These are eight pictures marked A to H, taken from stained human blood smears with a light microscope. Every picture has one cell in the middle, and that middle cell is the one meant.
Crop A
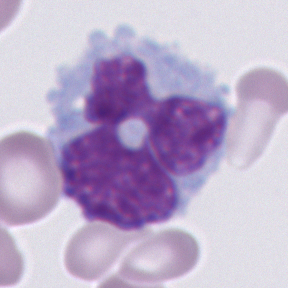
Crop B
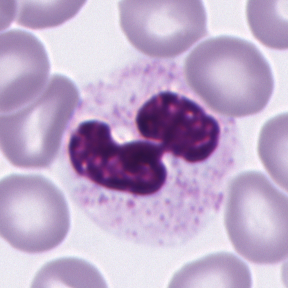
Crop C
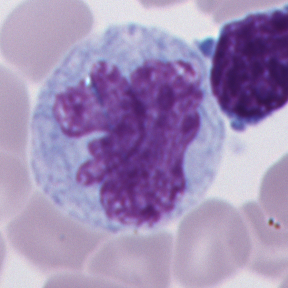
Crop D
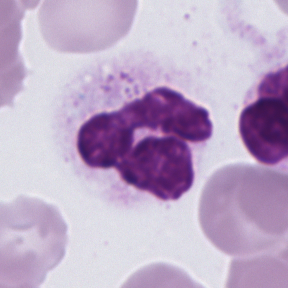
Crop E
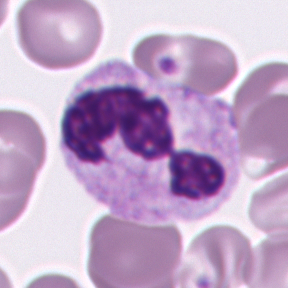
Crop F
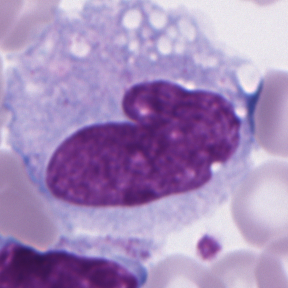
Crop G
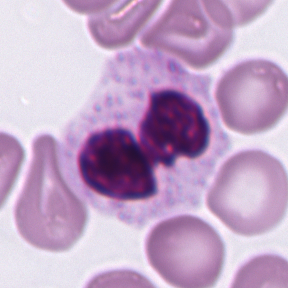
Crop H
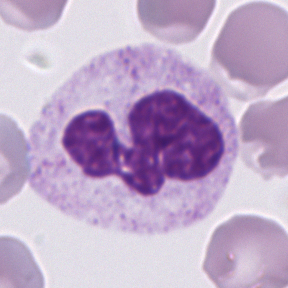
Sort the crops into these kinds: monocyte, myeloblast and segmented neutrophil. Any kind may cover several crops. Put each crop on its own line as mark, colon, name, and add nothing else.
A: monocyte
B: segmented neutrophil
C: monocyte
D: segmented neutrophil
E: segmented neutrophil
F: monocyte
G: segmented neutrophil
H: segmented neutrophil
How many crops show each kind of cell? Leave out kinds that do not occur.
segmented neutrophil: 5
monocyte: 3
